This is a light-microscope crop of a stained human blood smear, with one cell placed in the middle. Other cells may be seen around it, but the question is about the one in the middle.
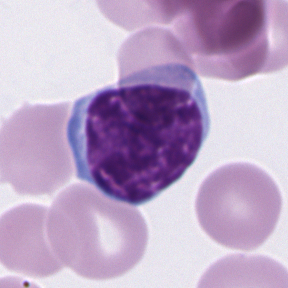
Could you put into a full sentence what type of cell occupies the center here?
The central cell, amid any neighbouring cells, is a lymphocyte.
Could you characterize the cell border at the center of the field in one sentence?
Its periphery is smooth, and no projections arise from it.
